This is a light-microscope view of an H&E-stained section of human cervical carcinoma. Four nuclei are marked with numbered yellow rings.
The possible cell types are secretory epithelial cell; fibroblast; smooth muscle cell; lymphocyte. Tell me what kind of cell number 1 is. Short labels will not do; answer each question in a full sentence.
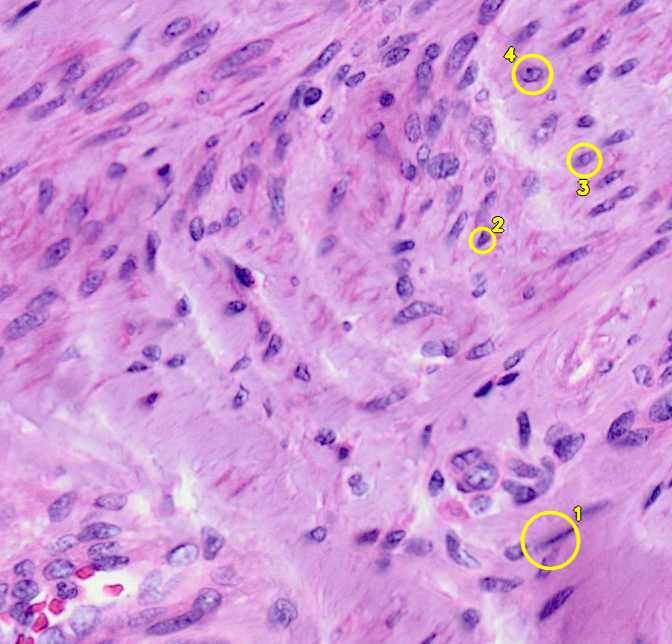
The label 1 in this section denotes a fibroblast.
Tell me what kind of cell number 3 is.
The identity of cell 3 is that of a smooth muscle cell.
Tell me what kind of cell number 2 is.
Looking at the numbered marks, cell 2 is a smooth muscle cell.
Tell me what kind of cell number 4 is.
Here the cell numbered 4 is a smooth muscle cell.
